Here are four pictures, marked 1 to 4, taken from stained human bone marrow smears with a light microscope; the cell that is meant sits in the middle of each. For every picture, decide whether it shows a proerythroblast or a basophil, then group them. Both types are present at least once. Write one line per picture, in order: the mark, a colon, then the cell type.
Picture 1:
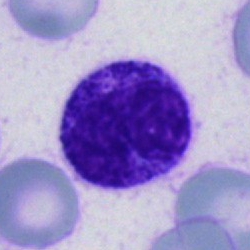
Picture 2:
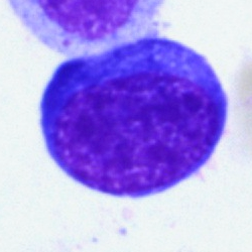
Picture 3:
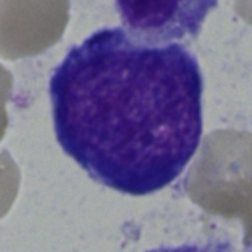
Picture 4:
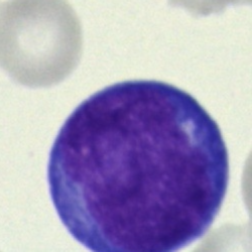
1: basophil
2: proerythroblast
3: proerythroblast
4: proerythroblast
